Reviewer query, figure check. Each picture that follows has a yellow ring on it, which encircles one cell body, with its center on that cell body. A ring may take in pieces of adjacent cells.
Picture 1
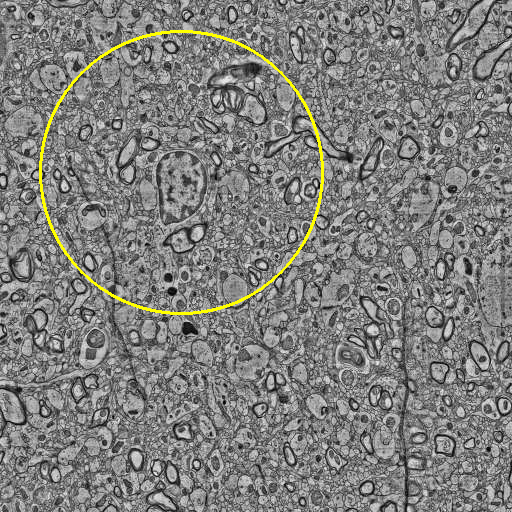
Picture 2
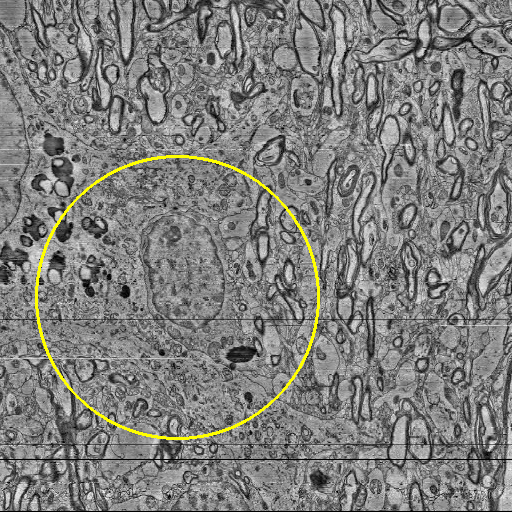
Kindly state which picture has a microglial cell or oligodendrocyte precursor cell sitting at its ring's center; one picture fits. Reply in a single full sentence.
In picture 1, the cell at the center of the ring is the requested one.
